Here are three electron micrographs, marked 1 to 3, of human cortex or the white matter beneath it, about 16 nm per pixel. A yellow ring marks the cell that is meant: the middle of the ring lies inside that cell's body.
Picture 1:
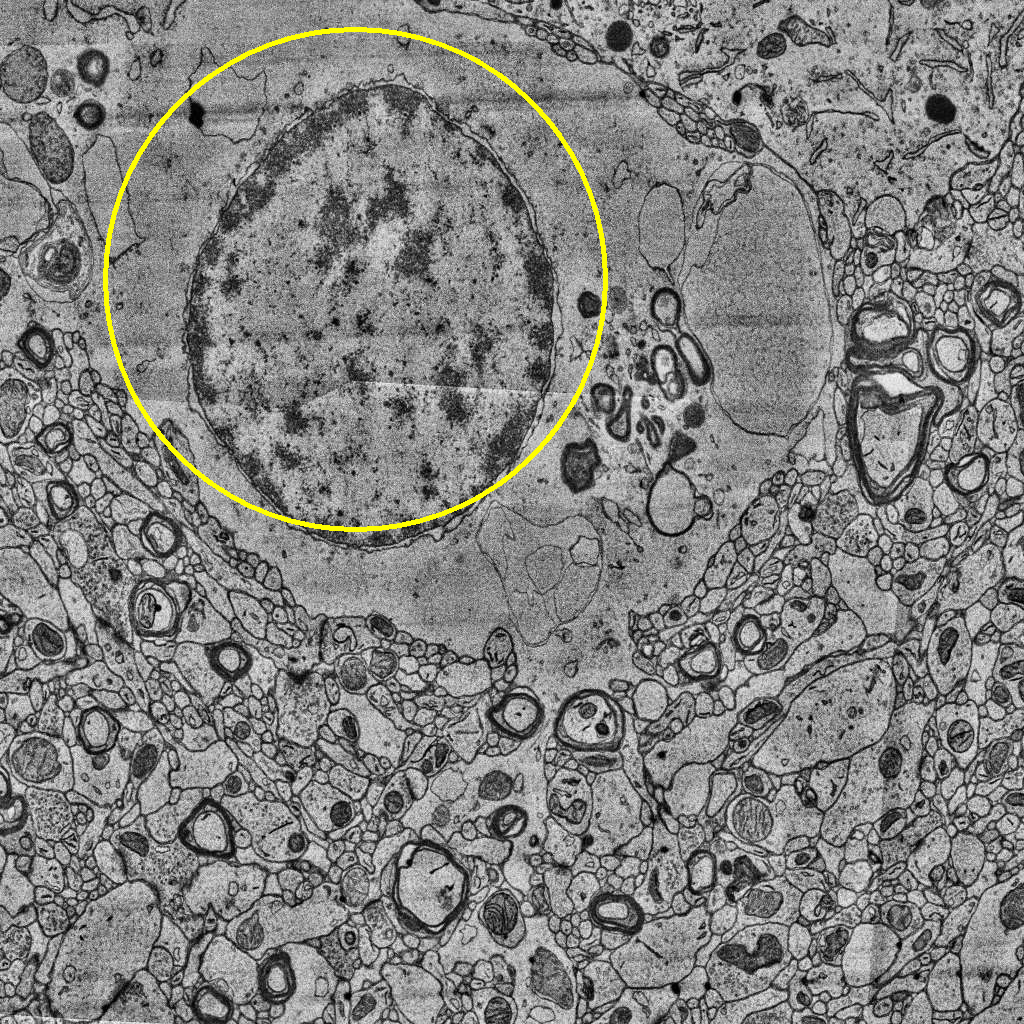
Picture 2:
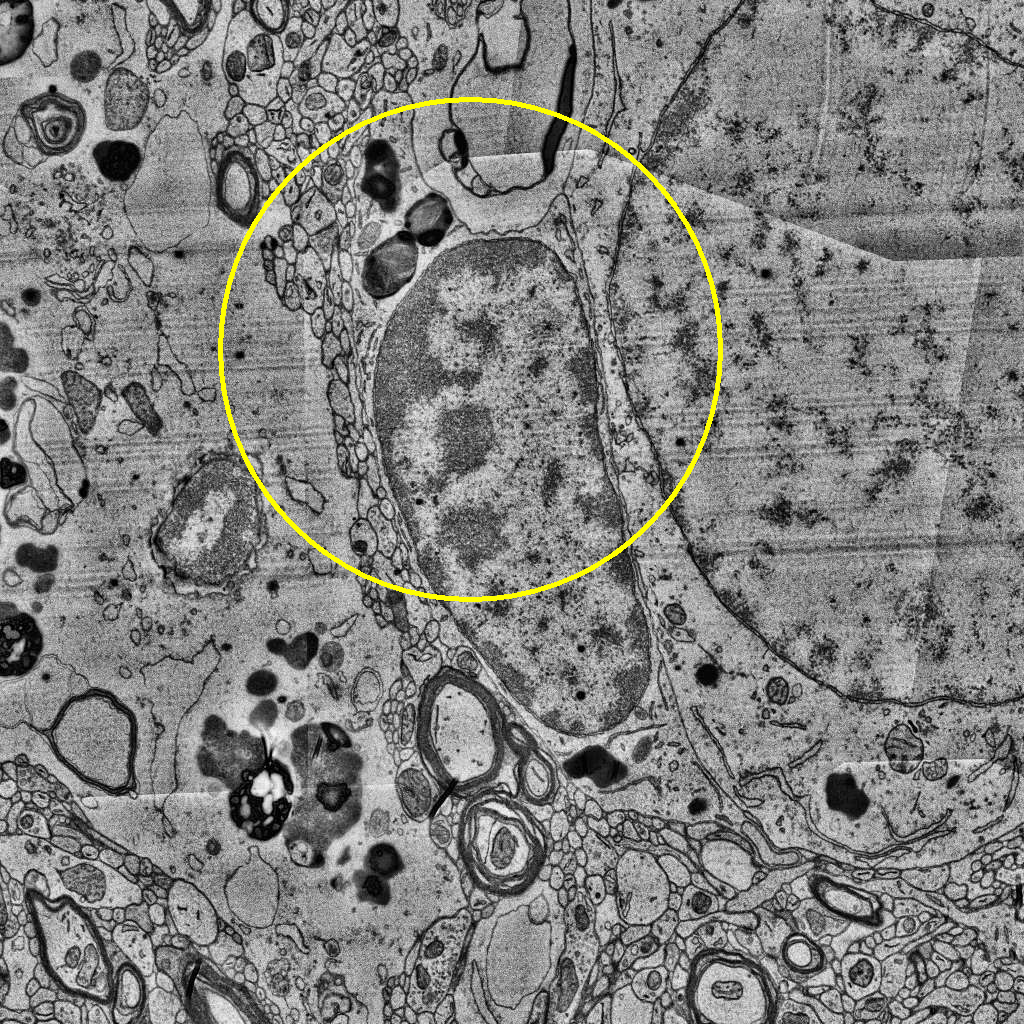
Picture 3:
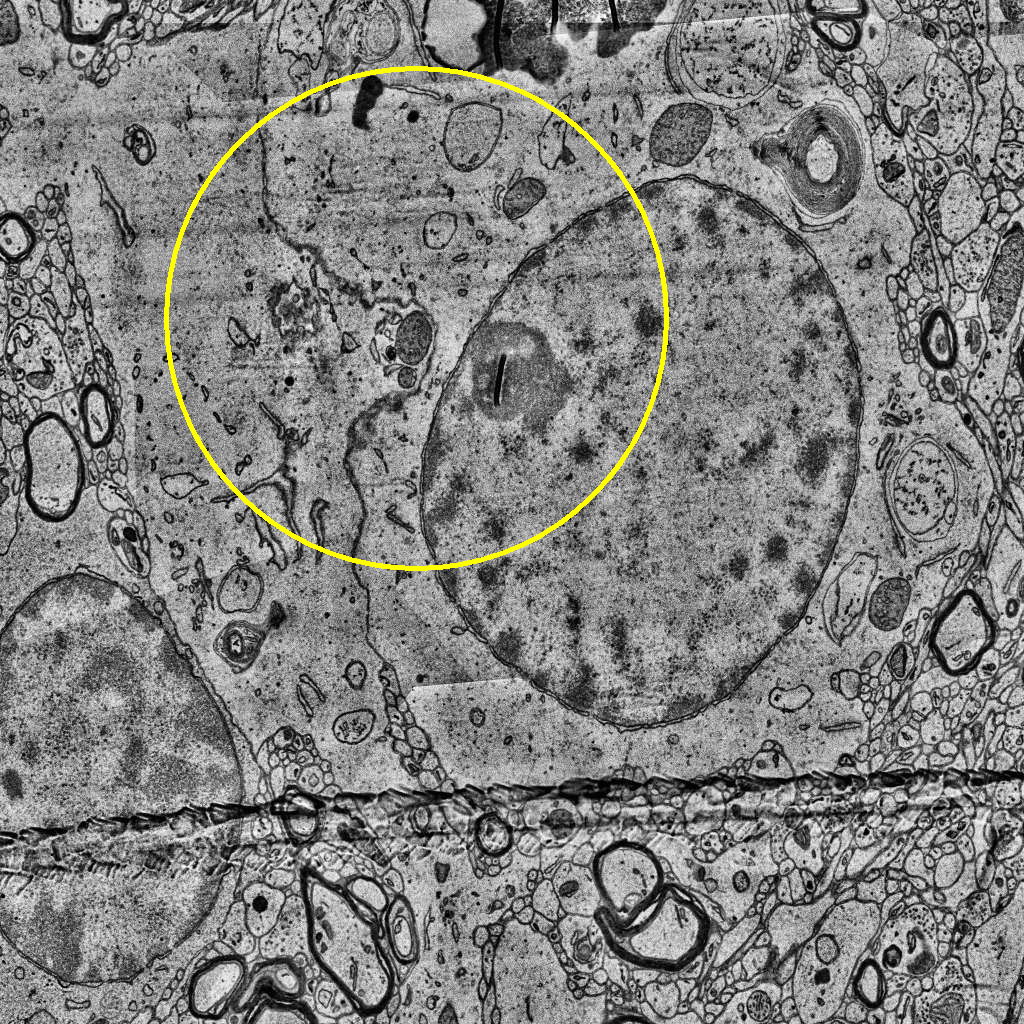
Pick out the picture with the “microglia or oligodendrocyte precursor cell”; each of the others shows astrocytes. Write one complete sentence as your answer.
The picture with the “microglia or oligodendrocyte precursor cell” is 2.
